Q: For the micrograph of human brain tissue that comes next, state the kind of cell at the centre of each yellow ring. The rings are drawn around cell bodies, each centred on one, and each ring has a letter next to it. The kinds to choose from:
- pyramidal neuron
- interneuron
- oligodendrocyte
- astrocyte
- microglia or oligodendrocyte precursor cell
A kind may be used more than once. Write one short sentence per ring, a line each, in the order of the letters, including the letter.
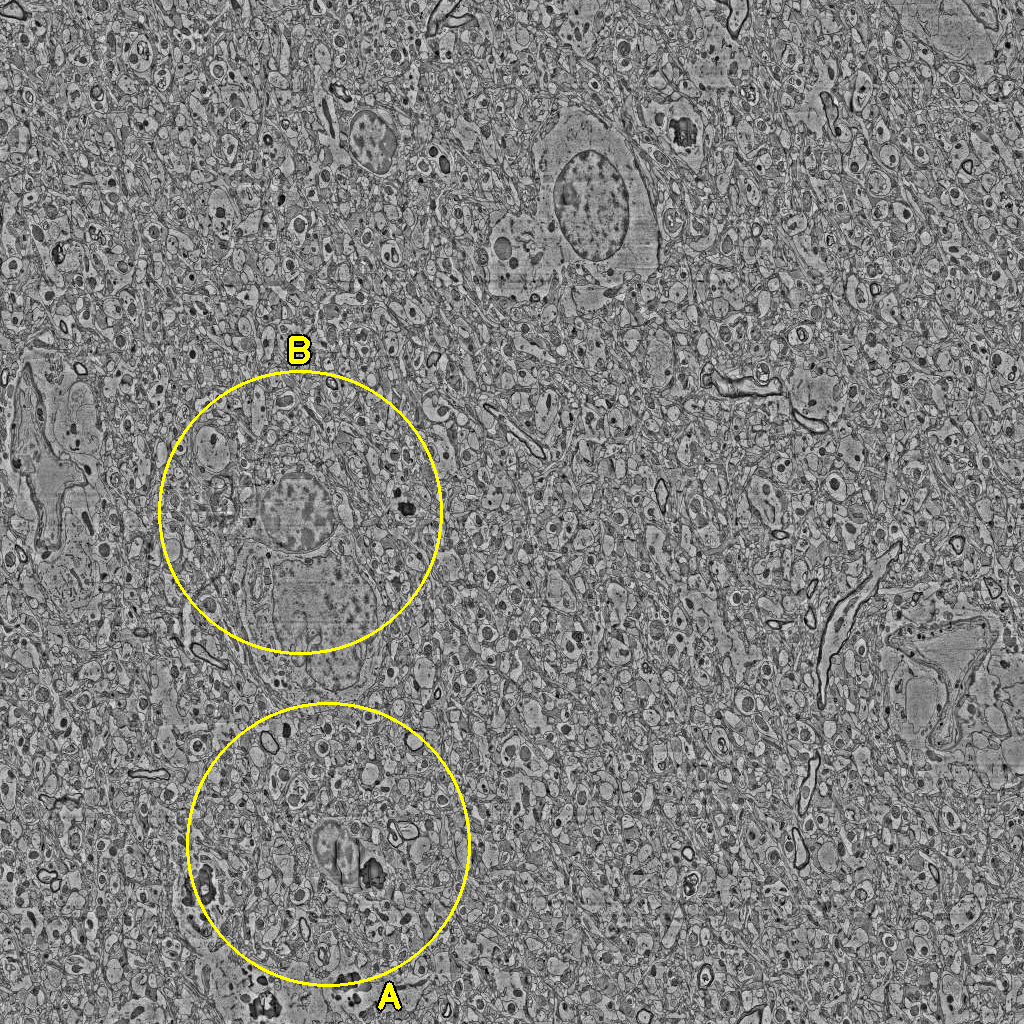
The cell ringed as A is an oligodendrocyte.
The cell ringed as B is an oligodendrocyte.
